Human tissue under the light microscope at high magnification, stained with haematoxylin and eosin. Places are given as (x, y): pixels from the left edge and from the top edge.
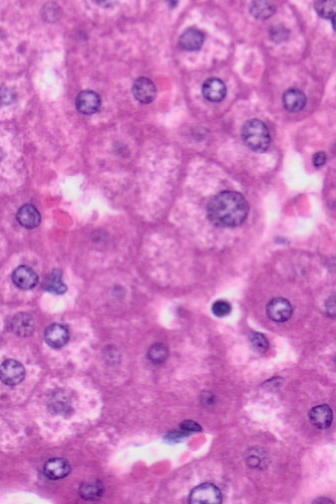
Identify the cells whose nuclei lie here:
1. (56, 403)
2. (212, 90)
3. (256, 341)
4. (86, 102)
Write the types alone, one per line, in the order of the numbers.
hepatocyte
hepatocyte
Kupffer cell
hepatocyte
